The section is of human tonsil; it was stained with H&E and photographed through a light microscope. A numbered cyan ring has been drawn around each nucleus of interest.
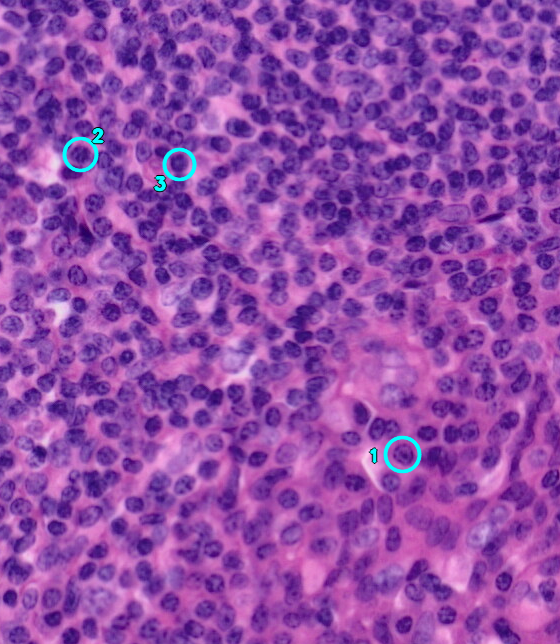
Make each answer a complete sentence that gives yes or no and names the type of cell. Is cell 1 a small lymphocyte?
No, the cell marked 1 is a plasma cell rather than a small lymphocyte.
